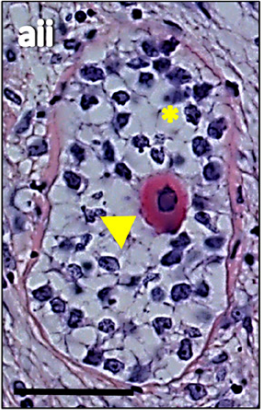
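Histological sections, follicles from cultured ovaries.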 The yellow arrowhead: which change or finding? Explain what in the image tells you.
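Shrunk and eosinophilic cytoplasm. A small round central cell with intensely pink-red cytoplasm.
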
